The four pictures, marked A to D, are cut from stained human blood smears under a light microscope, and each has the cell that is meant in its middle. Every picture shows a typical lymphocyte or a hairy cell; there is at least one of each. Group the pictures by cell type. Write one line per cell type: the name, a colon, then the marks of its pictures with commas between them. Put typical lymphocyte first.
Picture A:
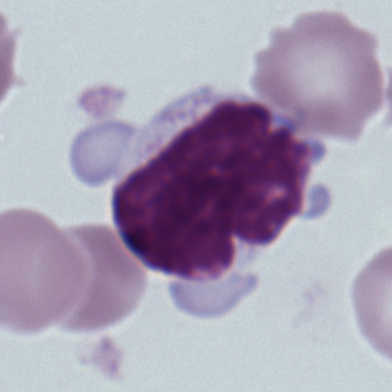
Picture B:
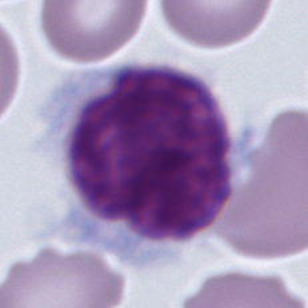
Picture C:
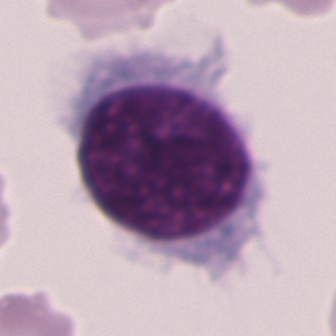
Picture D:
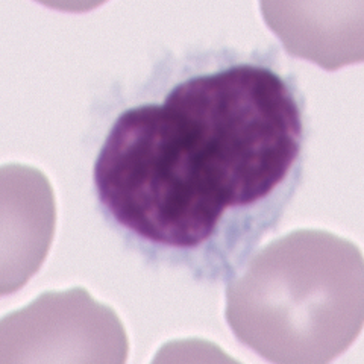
typical lymphocyte: A
hairy cell: B, C, D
